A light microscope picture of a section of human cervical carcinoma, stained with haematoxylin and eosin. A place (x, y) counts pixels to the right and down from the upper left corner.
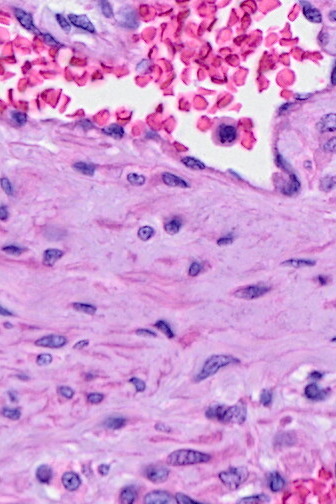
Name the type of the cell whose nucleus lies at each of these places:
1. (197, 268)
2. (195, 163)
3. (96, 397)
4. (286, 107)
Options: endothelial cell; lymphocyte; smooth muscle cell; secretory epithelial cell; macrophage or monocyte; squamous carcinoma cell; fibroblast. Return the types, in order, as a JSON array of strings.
["smooth muscle cell", "endothelial cell", "smooth muscle cell", "endothelial cell"]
